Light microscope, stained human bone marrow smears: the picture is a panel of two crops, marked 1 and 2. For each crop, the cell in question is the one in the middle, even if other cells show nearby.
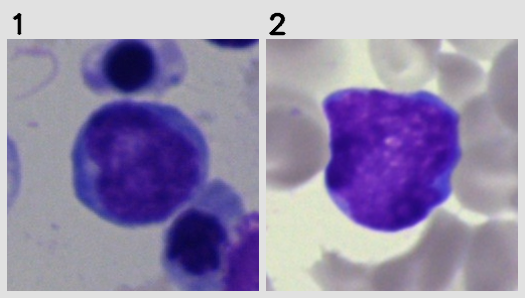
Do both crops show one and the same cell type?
yes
